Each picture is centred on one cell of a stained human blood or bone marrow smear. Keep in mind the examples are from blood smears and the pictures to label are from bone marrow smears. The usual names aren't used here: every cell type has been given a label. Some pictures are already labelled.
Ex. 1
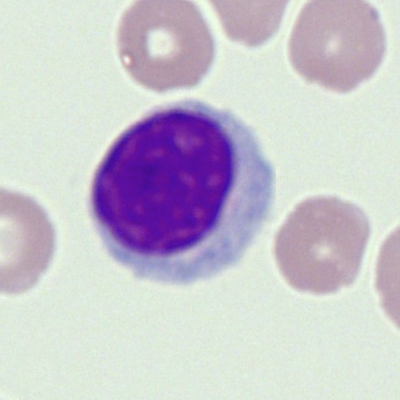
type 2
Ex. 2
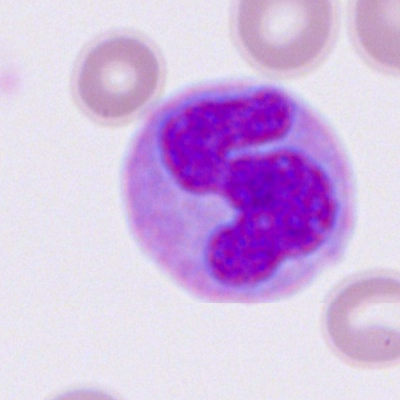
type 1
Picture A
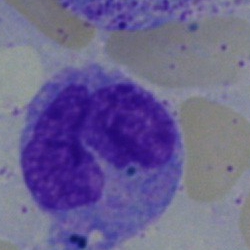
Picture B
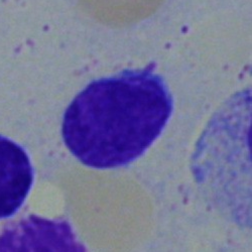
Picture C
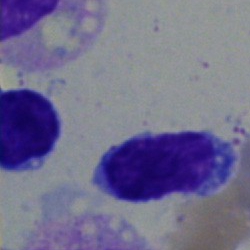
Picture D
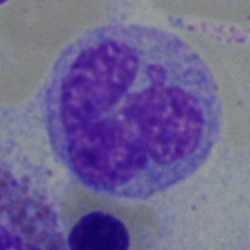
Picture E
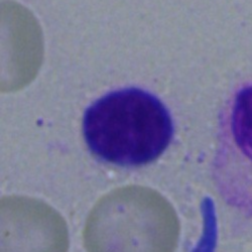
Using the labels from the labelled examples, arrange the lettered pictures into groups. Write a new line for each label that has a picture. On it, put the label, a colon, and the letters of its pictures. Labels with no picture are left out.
type 2: B, C, E
type 1: A, D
